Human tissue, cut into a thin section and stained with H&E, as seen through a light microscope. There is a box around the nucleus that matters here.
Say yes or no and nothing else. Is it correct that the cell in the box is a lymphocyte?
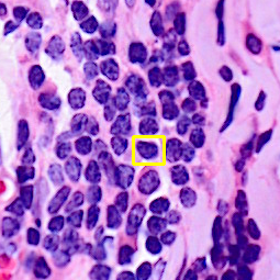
yes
